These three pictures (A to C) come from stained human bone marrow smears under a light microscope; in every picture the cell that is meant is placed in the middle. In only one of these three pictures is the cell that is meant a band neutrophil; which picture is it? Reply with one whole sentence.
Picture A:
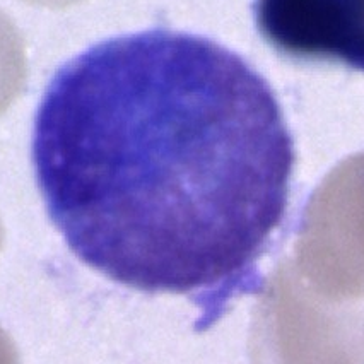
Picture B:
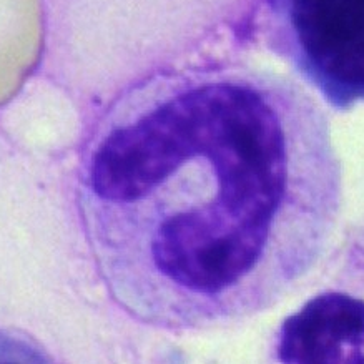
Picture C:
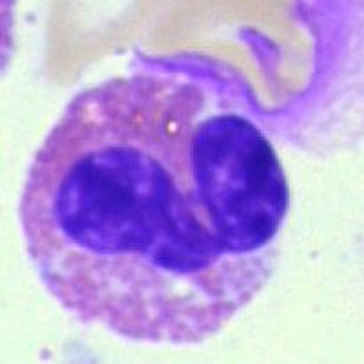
Picture B is the one that shows the band neutrophil.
